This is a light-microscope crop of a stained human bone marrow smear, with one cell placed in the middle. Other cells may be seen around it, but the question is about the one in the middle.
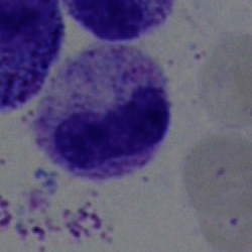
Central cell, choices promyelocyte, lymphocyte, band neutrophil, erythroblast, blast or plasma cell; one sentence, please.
What the crop centres on is a band neutrophil.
